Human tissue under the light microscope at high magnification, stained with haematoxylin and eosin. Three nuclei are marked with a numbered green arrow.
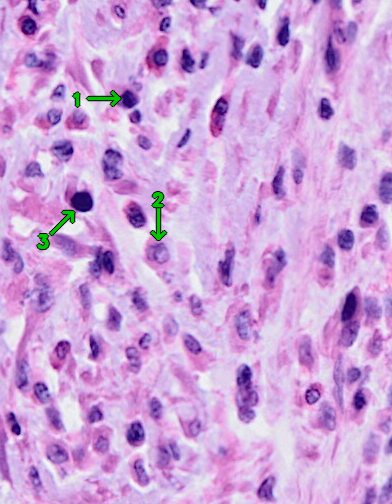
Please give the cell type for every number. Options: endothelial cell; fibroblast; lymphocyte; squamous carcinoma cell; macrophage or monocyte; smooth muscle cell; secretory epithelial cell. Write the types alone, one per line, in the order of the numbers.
lymphocyte
macrophage or monocyte
lymphocyte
